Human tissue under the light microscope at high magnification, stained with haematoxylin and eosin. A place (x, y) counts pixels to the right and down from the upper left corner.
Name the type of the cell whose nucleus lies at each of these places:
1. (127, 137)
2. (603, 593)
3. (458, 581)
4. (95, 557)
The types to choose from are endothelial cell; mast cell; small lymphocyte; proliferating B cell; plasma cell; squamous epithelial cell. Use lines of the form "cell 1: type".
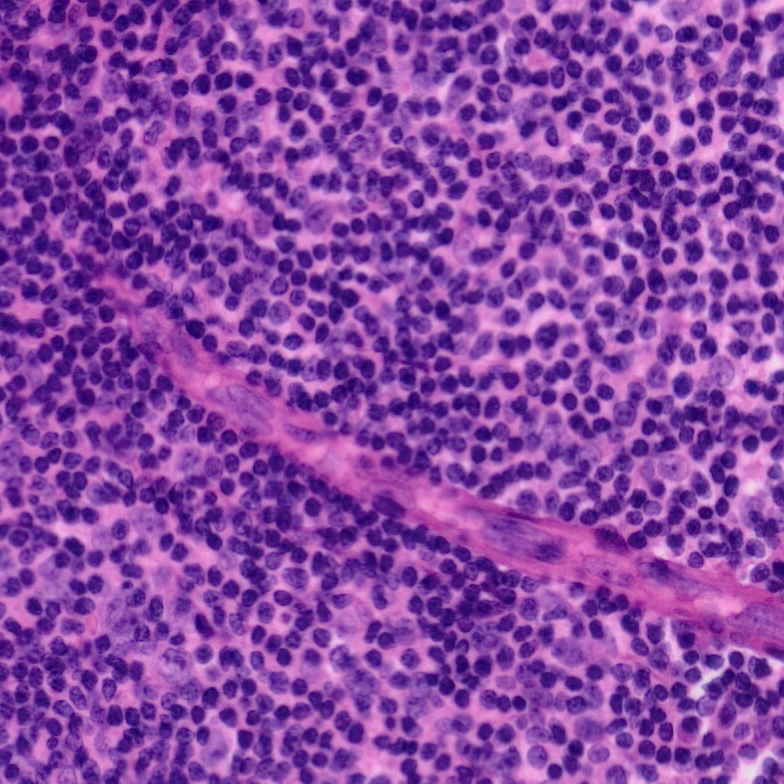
cell 1: small lymphocyte
cell 2: endothelial cell
cell 3: small lymphocyte
cell 4: small lymphocyte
